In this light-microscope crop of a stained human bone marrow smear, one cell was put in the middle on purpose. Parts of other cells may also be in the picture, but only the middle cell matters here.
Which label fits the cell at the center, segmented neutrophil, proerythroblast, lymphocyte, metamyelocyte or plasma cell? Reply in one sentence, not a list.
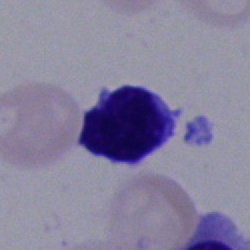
The cell positioned in the middle of the field is a lymphocyte.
